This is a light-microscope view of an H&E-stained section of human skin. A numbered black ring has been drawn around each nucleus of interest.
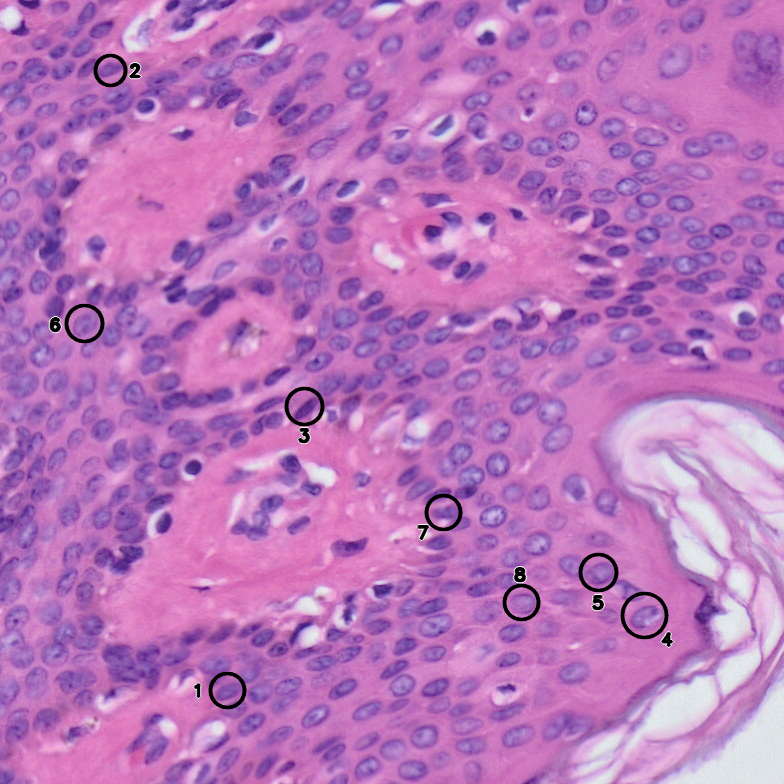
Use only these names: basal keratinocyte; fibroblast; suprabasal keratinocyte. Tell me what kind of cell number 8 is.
suprabasal keratinocyte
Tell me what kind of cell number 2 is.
basal keratinocyte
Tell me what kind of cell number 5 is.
suprabasal keratinocyte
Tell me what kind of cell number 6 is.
basal keratinocyte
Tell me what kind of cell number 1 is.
basal keratinocyte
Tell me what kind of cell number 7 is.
basal keratinocyte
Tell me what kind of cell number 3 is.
basal keratinocyte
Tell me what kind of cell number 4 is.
suprabasal keratinocyte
